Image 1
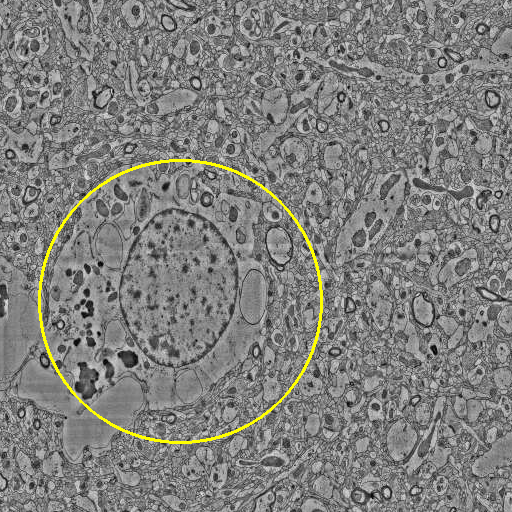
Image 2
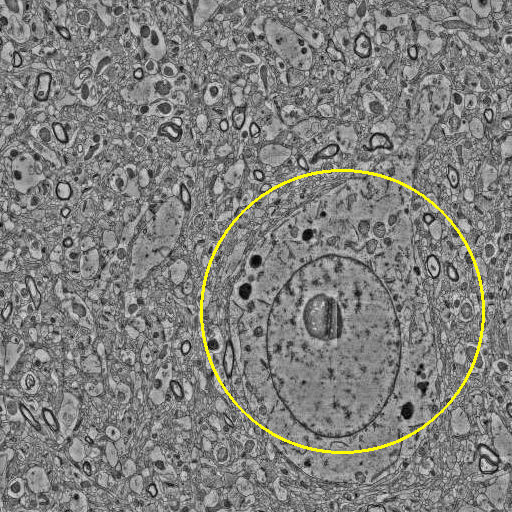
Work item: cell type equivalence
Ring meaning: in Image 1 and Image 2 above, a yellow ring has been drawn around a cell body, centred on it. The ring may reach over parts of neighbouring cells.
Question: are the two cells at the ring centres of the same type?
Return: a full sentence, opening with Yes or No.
No, the two centred cells are of two types.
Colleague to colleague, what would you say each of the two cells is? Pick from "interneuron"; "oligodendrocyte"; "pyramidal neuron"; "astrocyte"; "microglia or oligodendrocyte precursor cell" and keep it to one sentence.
The cell in the first picture is an astrocyte; the second picture's cell is a pyramidal neuron.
